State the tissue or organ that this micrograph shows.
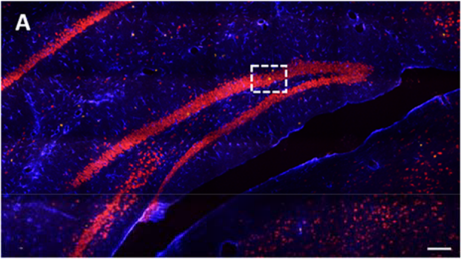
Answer: dentate gyrus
